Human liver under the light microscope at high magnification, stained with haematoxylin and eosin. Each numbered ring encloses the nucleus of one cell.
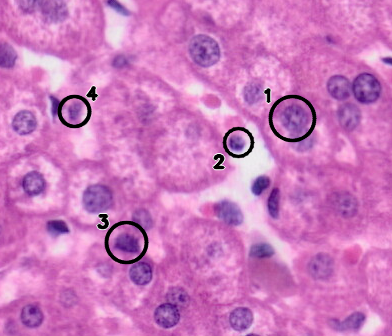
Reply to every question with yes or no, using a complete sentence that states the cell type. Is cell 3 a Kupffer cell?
No, the cell numbered 3 is a fibroblast or stellate cell rather than a Kupffer cell.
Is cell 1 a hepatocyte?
Yes, the marked cell numbered 1 is a hepatocyte.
